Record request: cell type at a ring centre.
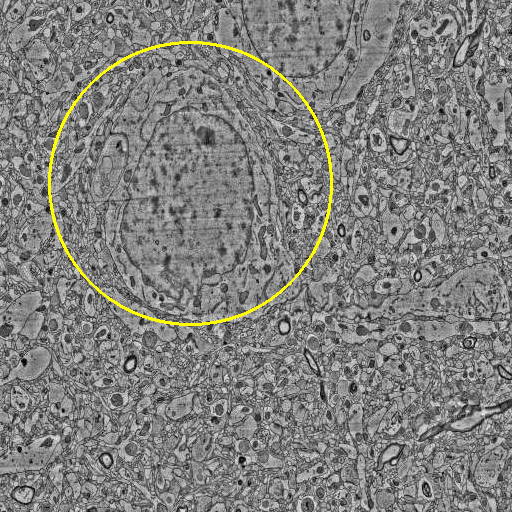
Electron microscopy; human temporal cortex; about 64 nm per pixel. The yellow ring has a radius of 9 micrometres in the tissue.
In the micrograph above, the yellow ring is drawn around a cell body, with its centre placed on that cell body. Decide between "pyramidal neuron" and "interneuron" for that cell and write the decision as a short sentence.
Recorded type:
The cell centred in the yellow ring is an interneuron.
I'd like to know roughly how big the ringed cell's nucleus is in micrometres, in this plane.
The nucleus measures about 12 by 8 micrometres in this plane.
